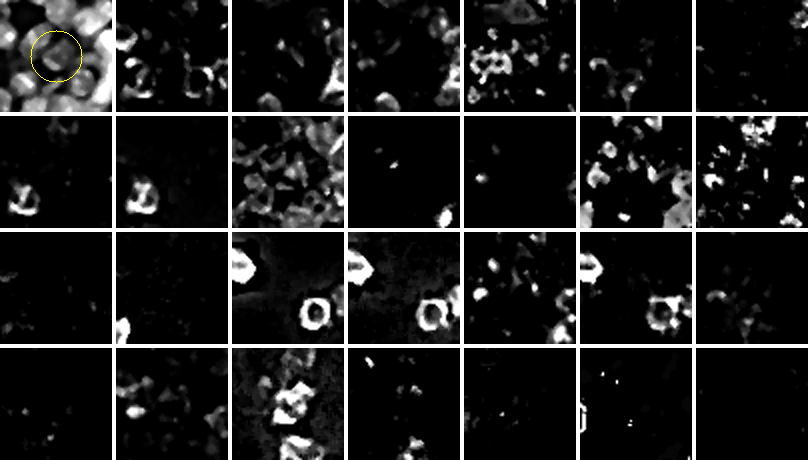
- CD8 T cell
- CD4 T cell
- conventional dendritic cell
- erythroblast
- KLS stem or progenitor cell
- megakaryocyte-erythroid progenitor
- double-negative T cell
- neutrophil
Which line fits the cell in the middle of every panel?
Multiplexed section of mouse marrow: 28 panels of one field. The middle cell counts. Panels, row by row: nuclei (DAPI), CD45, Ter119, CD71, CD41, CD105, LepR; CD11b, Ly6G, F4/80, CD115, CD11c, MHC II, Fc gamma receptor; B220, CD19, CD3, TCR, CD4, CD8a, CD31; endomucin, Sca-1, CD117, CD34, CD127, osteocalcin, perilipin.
megakaryocyte-erythroid progenitor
